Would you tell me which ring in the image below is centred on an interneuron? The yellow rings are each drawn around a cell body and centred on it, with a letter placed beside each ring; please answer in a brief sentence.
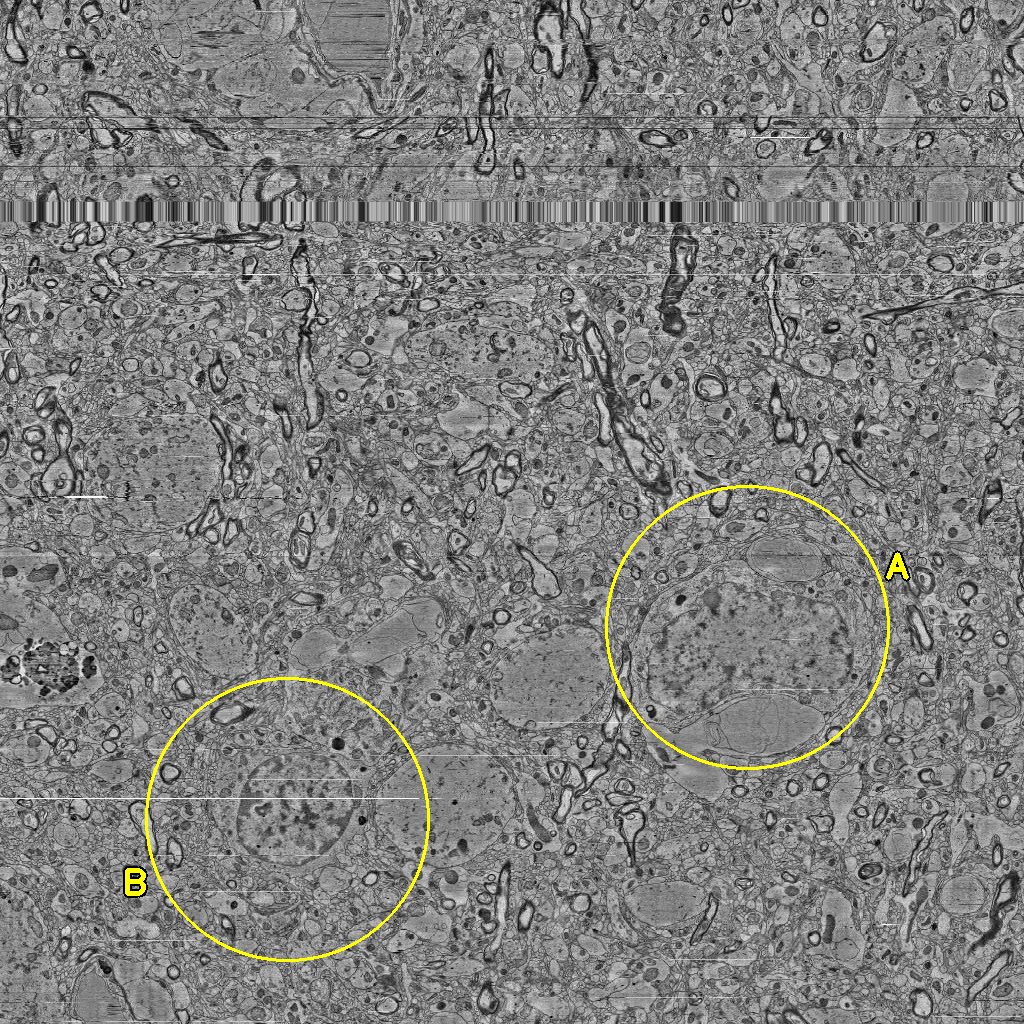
Ring A is centred on it.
